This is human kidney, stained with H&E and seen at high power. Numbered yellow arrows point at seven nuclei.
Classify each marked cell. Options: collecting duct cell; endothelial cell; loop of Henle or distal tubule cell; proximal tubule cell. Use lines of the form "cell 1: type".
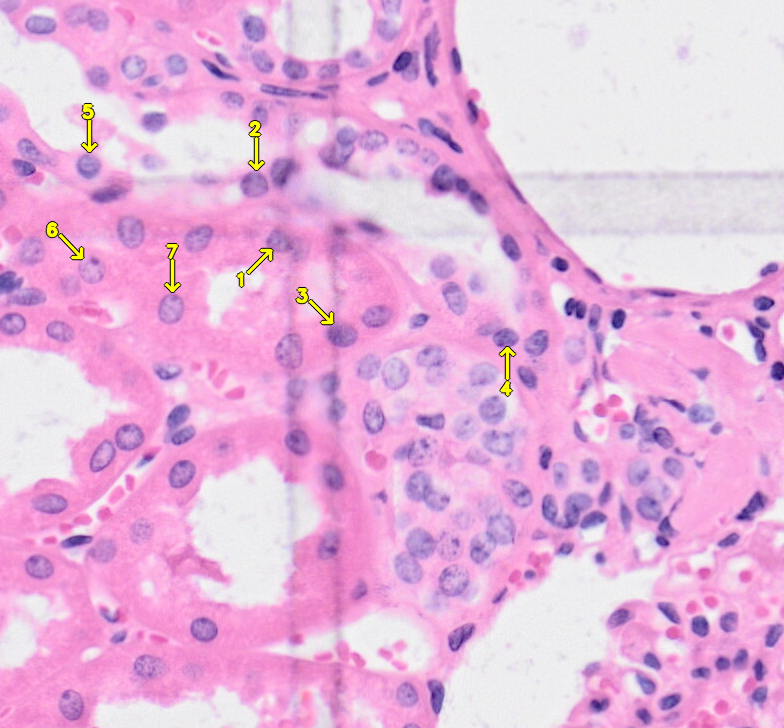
cell 1: proximal tubule cell
cell 2: collecting duct cell
cell 3: proximal tubule cell
cell 4: collecting duct cell
cell 5: collecting duct cell
cell 6: proximal tubule cell
cell 7: proximal tubule cell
